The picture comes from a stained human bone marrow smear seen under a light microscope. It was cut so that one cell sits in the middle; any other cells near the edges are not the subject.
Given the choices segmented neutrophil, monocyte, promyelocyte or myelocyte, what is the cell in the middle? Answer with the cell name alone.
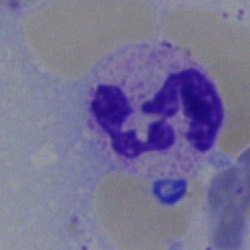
segmented neutrophil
